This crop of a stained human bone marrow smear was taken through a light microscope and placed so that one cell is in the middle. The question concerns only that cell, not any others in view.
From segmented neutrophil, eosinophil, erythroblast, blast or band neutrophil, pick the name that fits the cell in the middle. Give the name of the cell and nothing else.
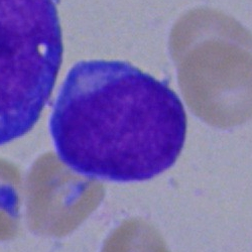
blast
